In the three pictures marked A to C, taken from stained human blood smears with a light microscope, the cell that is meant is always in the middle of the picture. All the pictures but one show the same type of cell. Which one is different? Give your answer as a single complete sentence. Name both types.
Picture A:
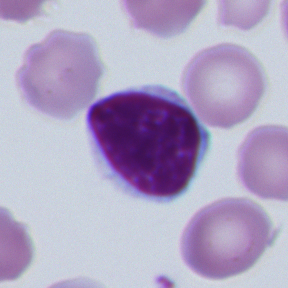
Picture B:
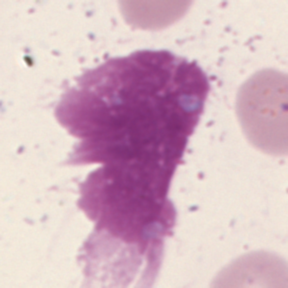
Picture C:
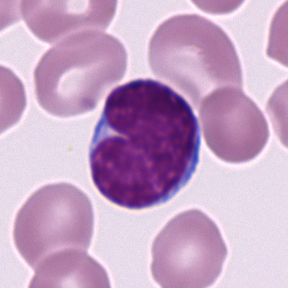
The different one is picture B; it shows a smudge cell, whereas all the others show typical lymphocytes.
